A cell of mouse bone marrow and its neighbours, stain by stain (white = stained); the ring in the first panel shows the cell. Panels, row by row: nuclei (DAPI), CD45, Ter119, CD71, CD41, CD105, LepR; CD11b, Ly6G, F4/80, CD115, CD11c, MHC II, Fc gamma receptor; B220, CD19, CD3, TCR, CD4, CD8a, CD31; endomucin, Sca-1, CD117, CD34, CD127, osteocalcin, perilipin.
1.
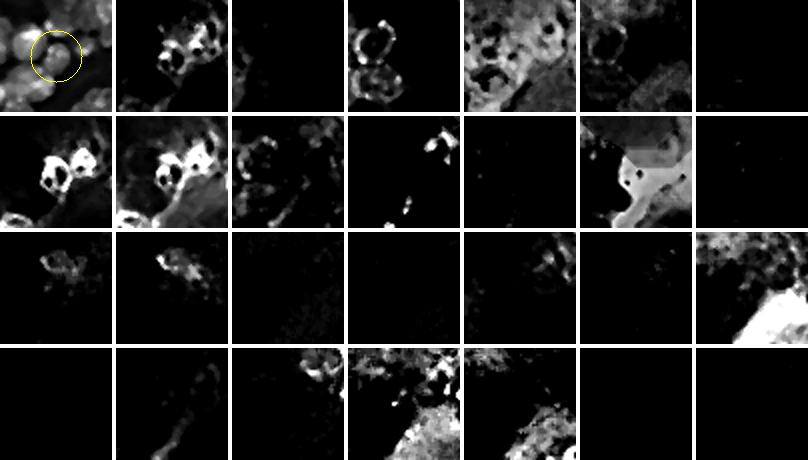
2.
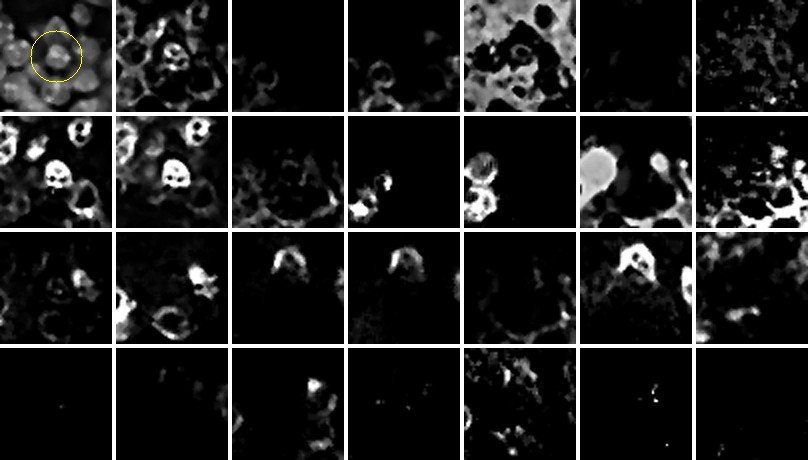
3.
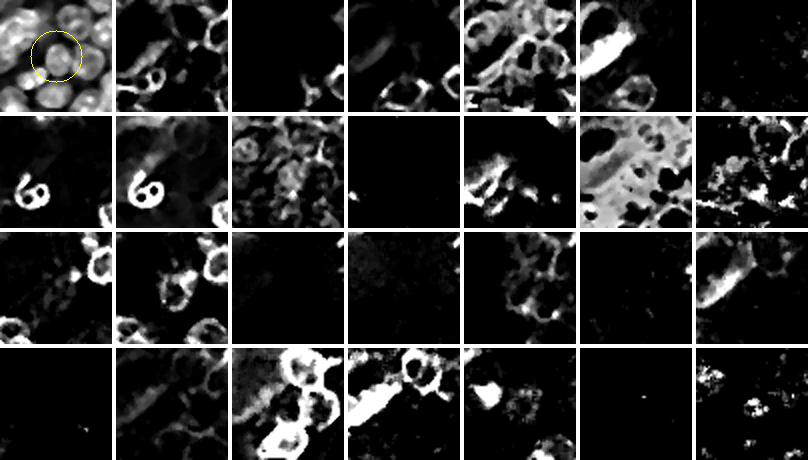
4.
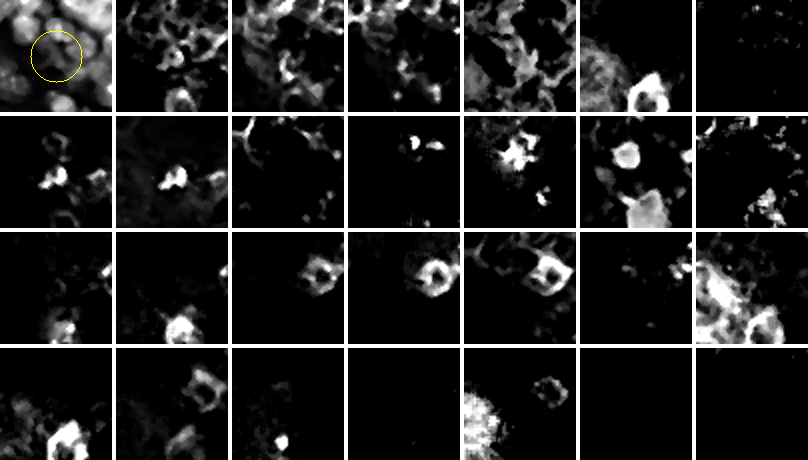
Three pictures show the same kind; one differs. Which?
Picture 3: a megakaryocyte progenitor, while the others are neutrophils.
